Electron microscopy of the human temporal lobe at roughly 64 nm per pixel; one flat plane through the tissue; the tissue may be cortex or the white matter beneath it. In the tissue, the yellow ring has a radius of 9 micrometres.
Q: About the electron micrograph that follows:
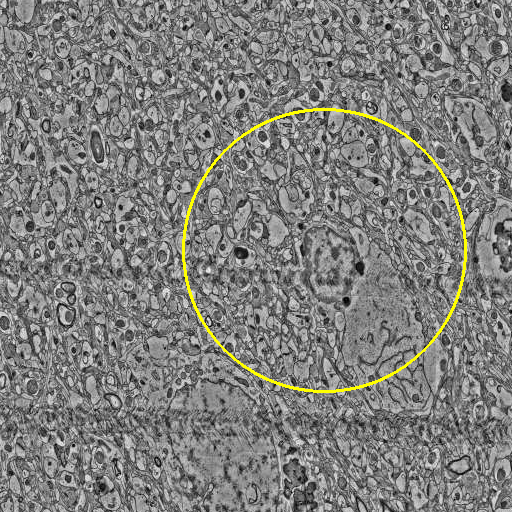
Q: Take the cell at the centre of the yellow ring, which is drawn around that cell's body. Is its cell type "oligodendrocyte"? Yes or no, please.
Yes, its type is that one.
